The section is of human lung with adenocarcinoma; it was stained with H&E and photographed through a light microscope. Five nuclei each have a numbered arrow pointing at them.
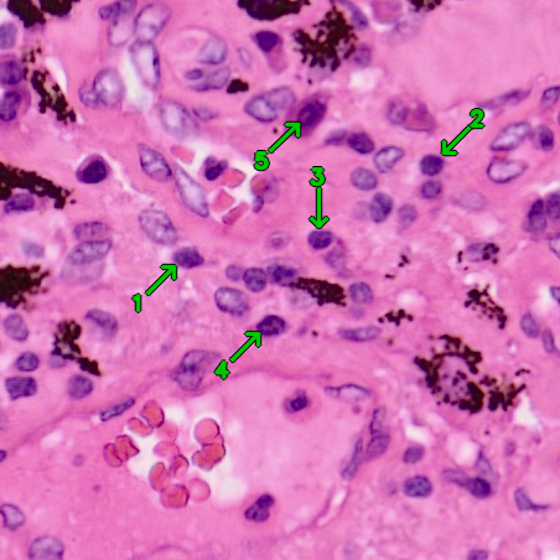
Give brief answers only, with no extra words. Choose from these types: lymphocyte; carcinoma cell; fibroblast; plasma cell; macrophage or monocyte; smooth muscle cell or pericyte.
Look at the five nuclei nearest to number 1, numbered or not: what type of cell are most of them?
fibroblast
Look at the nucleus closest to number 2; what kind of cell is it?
plasma cell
